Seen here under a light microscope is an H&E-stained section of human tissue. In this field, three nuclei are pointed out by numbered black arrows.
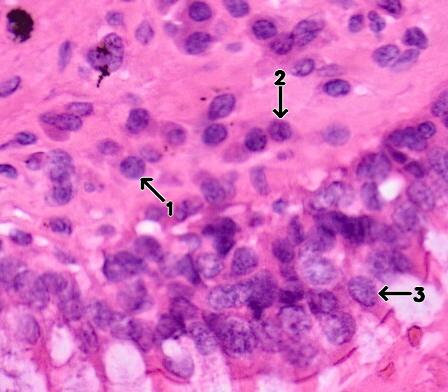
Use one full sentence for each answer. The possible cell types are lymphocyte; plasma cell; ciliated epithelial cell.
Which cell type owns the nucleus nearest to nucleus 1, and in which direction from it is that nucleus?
The closest nucleus belongs to a plasma cell and sits above and to the right of nucleus 1.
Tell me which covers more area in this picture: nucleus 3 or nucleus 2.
The larger nucleus is 3, at roughly 1.5 times the area of 2.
